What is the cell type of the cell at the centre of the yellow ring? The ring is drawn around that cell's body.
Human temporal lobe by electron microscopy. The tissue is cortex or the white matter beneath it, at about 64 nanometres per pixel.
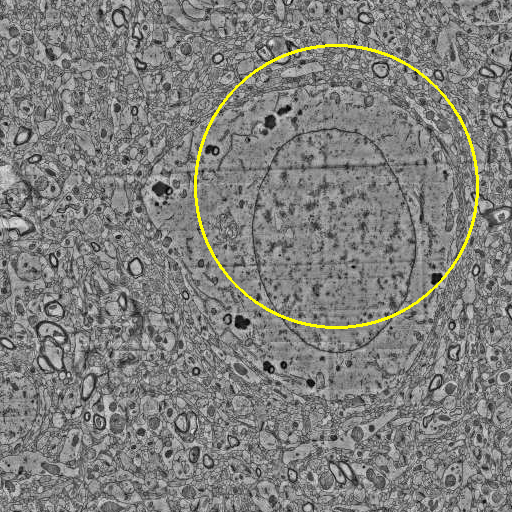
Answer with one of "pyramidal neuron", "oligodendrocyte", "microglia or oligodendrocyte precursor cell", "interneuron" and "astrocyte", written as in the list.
pyramidal neuron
